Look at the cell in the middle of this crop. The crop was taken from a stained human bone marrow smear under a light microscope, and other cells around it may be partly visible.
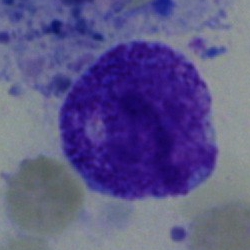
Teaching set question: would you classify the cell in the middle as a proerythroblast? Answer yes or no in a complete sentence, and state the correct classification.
No, what is seen at the centre is a promyelocyte instead of a proerythroblast.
